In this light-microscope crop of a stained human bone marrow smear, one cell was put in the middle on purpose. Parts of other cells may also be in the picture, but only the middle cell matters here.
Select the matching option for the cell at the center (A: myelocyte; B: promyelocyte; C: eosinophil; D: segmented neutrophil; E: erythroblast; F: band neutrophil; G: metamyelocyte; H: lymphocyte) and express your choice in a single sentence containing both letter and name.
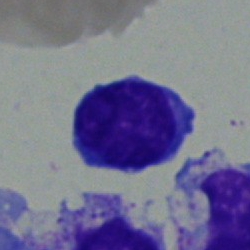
Located in the middle of the crop is a lymphocyte, and option H is therefore correct.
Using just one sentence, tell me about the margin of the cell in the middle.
The cytoplasmic margin is uneven, whether through ragged segments or through projections.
